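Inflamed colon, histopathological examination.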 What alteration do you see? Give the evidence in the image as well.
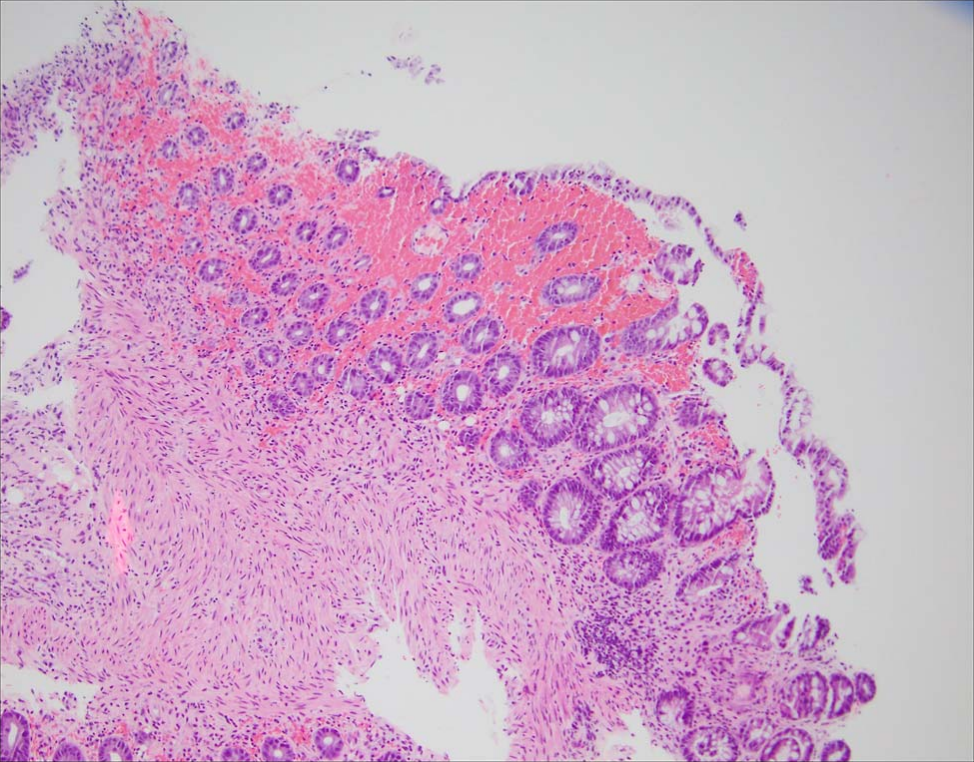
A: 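Sheets of red blood cells fill the mucosa between the upper crypts. The red cells spread through the tissue rather than sitting within vessels. The answer: hemorrhage.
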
